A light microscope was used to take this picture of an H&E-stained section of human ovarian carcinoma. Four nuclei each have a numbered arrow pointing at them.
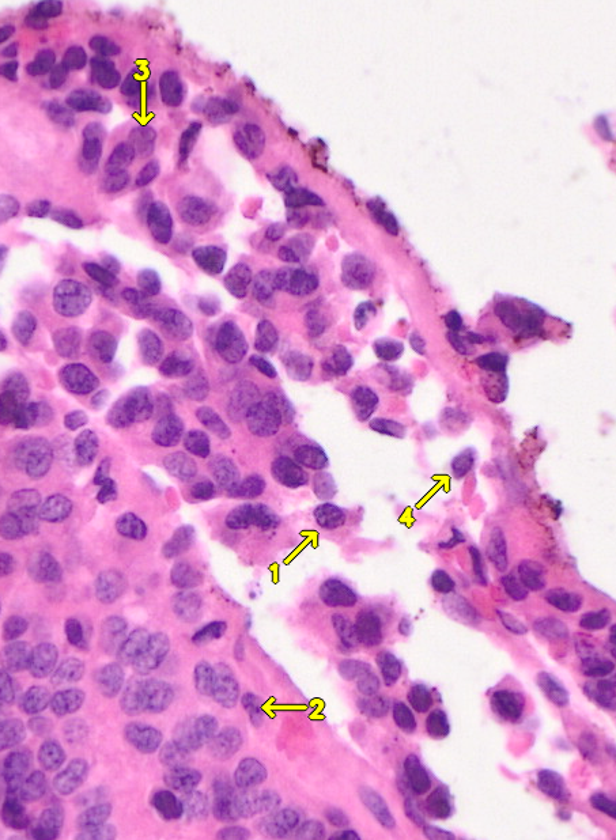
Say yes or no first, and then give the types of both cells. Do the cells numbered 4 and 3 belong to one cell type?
Yes, both cells 4 and 3 are carcinoma cells.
